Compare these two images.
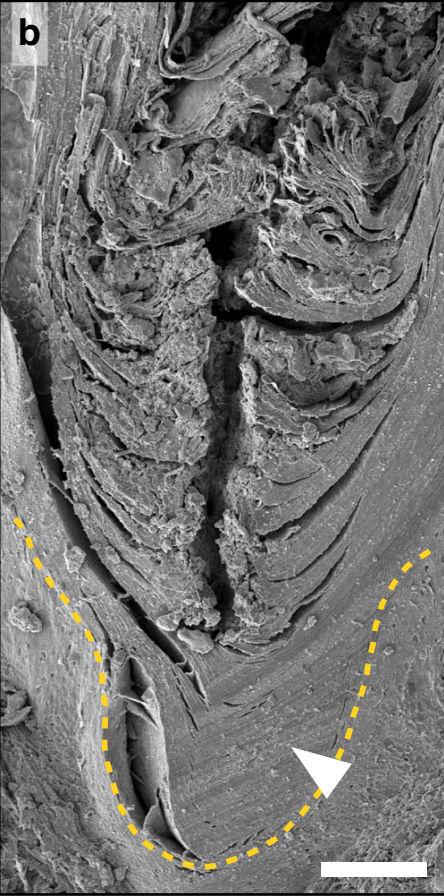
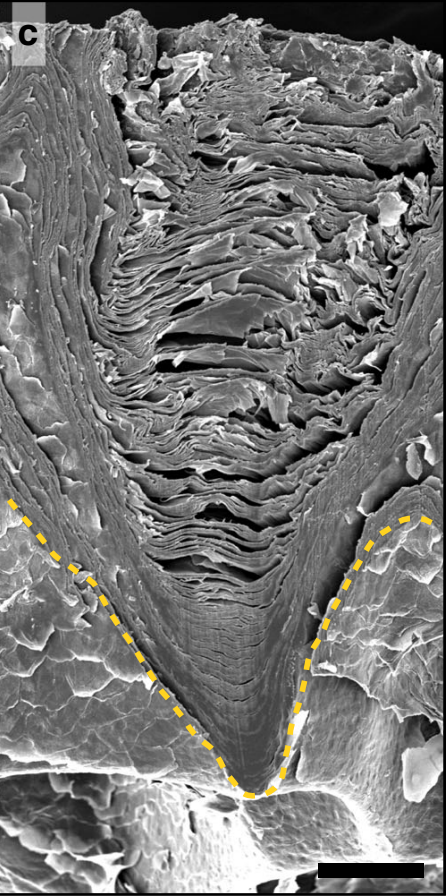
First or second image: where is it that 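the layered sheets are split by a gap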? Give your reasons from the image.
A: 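Second image: the stacked sheets are continuous with no vertical gap. First image: a dark vertical gap splits the stacked sheets down the middle. That points to this answer: the first image.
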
